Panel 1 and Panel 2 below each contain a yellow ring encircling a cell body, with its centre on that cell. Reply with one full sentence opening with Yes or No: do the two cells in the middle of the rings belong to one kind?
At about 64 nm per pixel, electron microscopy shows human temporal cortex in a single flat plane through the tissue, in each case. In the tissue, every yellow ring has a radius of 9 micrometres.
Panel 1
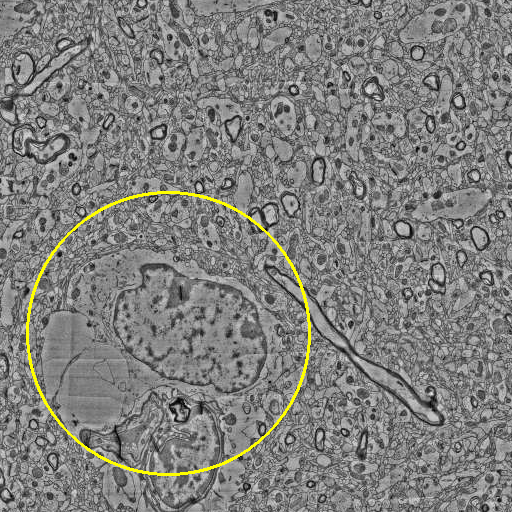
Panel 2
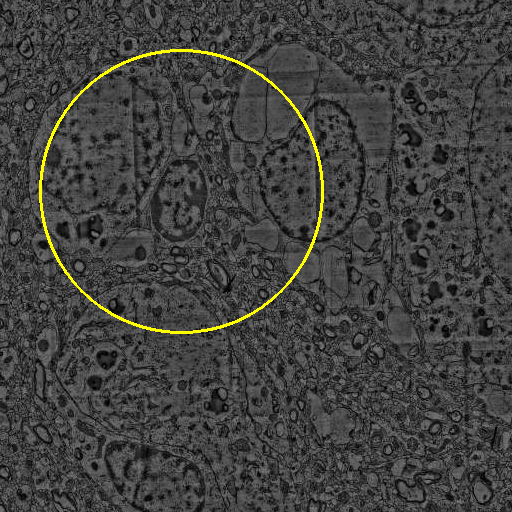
Yes, the cells at the middle of the Panel 1 ring and the Panel 2 ring are of one kind.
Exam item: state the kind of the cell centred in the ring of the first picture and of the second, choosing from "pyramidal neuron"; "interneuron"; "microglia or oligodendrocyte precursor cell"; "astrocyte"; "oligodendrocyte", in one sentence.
The ring centre holds a microglial cell or oligodendrocyte precursor cell in each of the two pictures.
